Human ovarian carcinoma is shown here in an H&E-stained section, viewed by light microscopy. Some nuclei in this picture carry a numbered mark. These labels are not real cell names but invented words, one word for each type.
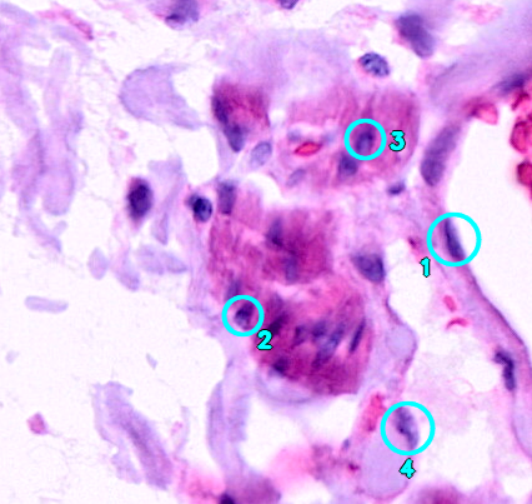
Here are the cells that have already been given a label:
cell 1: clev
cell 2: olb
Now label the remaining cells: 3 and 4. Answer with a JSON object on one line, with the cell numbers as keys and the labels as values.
{"3": "olb", "4": "clev"}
